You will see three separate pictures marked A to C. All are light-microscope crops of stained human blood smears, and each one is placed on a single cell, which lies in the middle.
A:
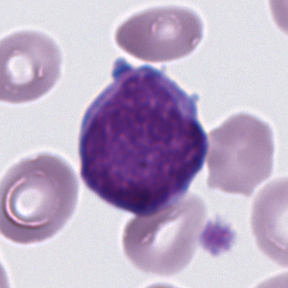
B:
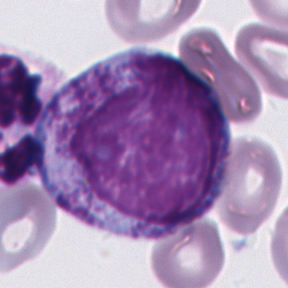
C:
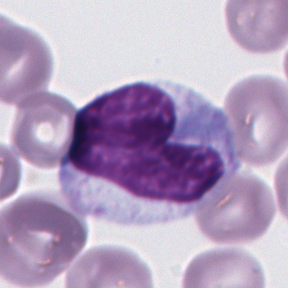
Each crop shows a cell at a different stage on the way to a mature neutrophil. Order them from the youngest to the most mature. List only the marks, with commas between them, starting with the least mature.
A, B, C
